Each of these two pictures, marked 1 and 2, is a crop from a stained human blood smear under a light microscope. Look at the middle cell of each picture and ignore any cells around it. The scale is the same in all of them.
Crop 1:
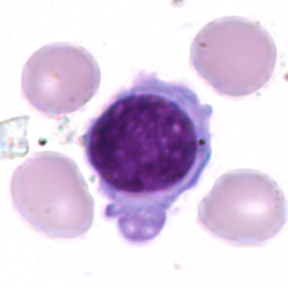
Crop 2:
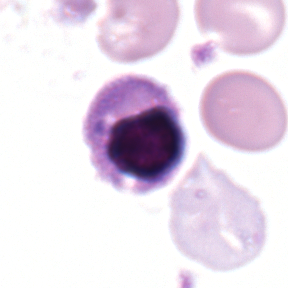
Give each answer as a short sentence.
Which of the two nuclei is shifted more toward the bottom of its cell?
Seen within its cell, the nucleus in crop 2 lies further toward the bottom.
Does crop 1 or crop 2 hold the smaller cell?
Crop 2 holds the smaller cell, since the cell in crop 1 covers about 1.5 times as much area.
